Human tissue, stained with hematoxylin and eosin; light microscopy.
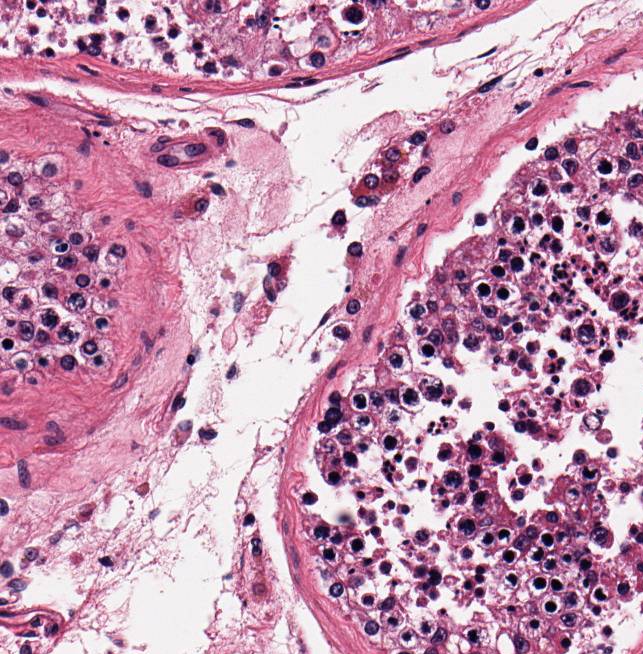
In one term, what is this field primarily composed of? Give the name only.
seminiferous tubule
